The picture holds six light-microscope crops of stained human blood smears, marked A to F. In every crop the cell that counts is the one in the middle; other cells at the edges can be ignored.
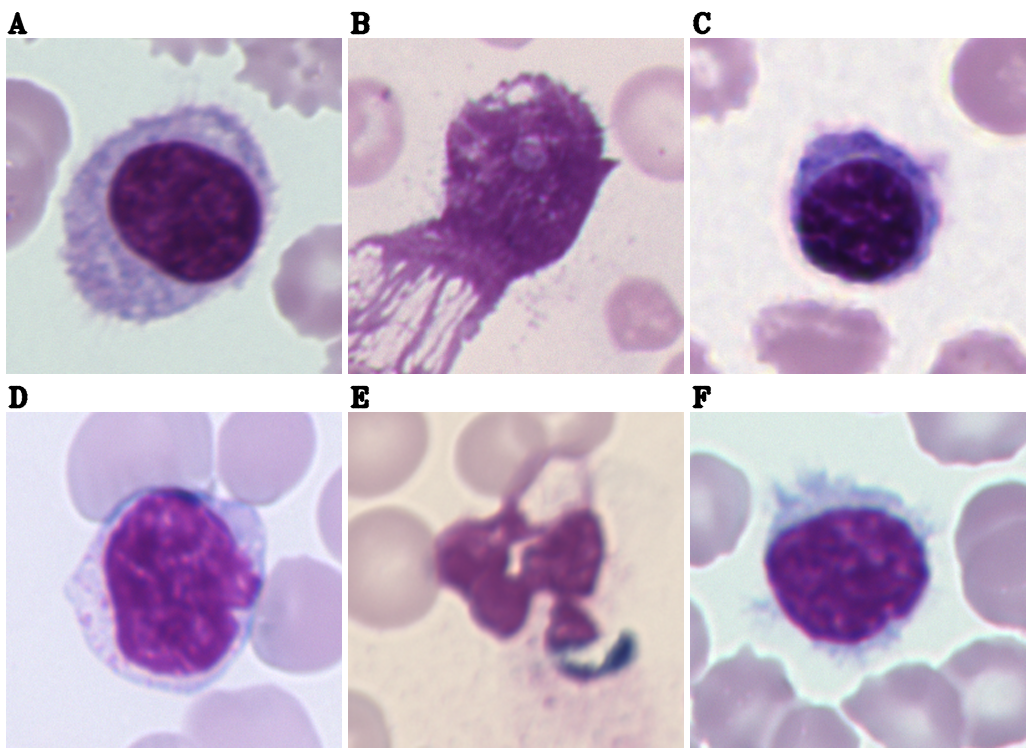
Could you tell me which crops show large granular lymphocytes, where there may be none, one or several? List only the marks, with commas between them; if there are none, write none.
D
